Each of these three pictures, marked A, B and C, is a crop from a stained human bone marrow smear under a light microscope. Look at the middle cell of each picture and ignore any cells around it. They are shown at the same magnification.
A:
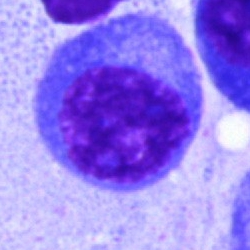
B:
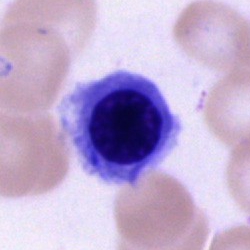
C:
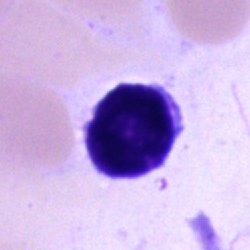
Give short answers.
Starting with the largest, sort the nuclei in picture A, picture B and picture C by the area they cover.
A, C, B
